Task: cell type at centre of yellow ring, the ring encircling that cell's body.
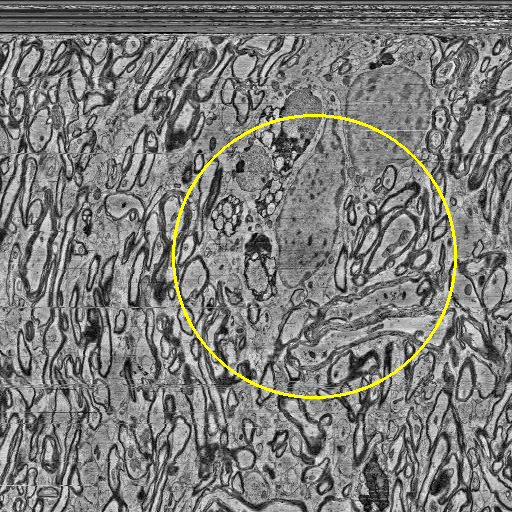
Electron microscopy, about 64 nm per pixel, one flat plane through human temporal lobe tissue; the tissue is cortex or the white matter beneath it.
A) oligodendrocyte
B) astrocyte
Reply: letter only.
B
